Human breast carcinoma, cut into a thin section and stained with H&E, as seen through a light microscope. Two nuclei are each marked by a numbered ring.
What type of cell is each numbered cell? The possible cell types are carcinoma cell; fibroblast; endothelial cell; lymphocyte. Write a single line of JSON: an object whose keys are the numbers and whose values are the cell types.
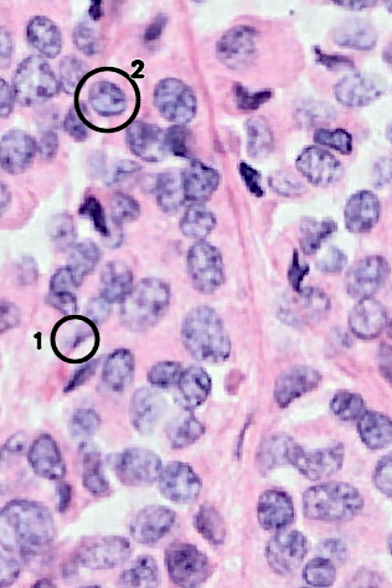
{"1": "endothelial cell", "2": "carcinoma cell"}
